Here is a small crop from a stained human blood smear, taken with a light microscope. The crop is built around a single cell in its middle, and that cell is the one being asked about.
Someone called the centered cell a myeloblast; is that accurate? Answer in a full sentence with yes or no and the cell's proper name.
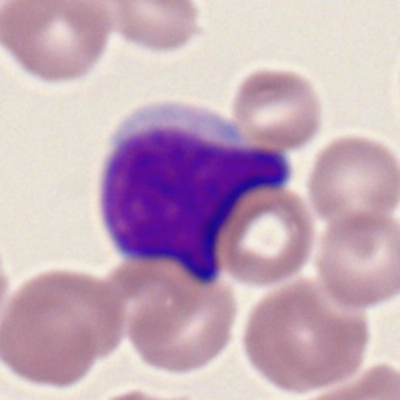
Yes, that middle cell in the crop is a myeloblast.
